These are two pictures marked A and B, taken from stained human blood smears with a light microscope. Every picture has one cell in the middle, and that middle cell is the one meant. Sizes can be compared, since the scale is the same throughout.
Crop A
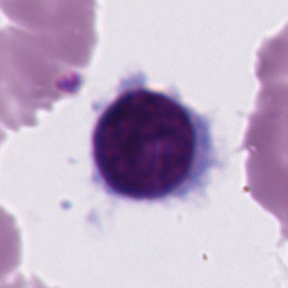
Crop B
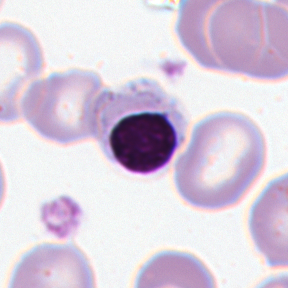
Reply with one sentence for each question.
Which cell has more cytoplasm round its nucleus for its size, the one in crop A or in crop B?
The nucleus fills less of the cell in crop B than in crop A.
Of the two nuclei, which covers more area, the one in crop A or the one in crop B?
Crop A shows the larger nucleus; it covers about 3 times the area of the nucleus in crop B.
